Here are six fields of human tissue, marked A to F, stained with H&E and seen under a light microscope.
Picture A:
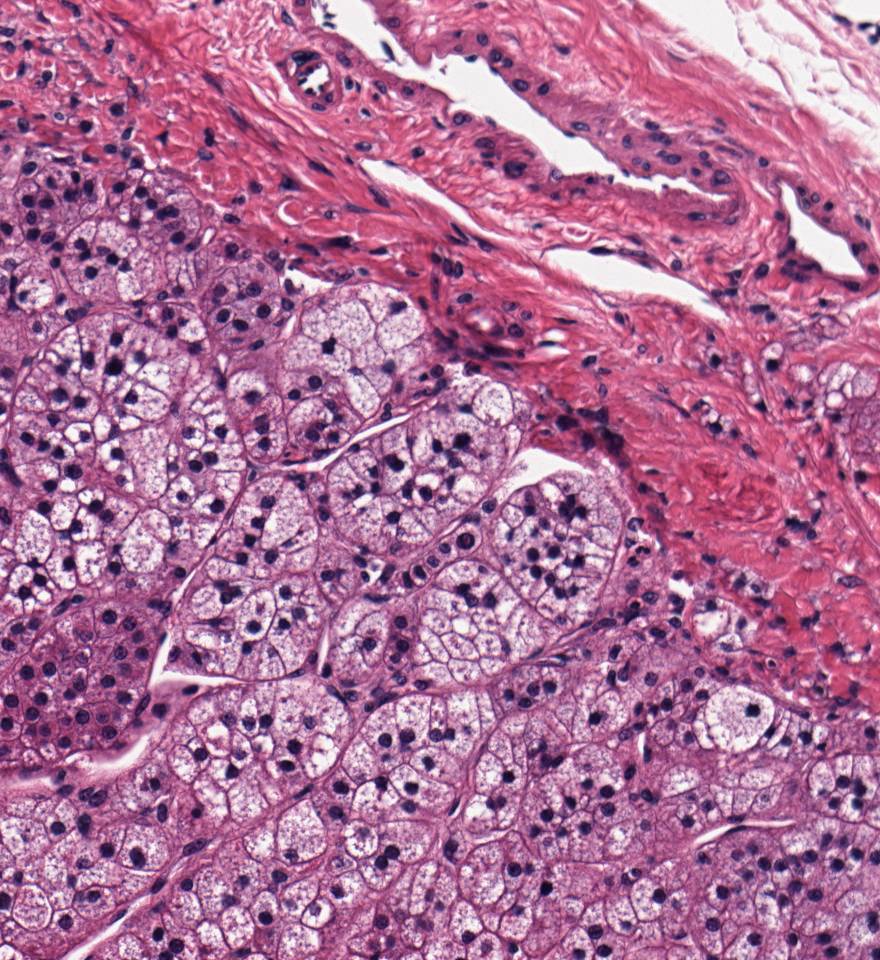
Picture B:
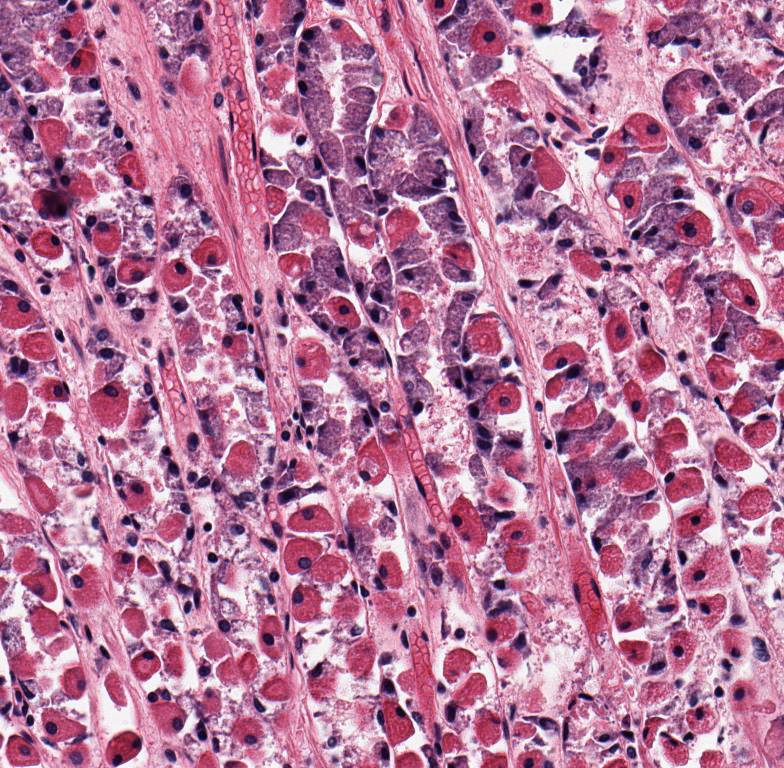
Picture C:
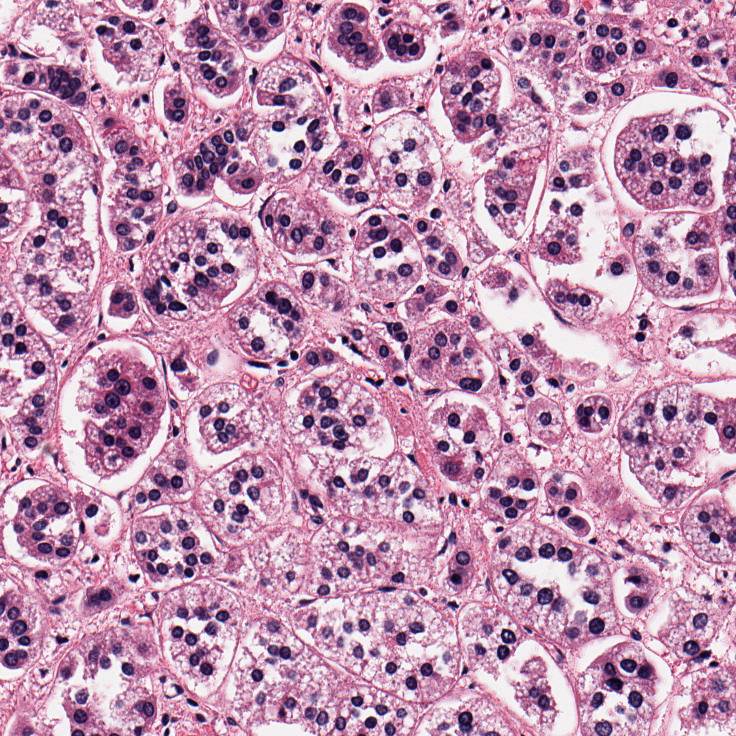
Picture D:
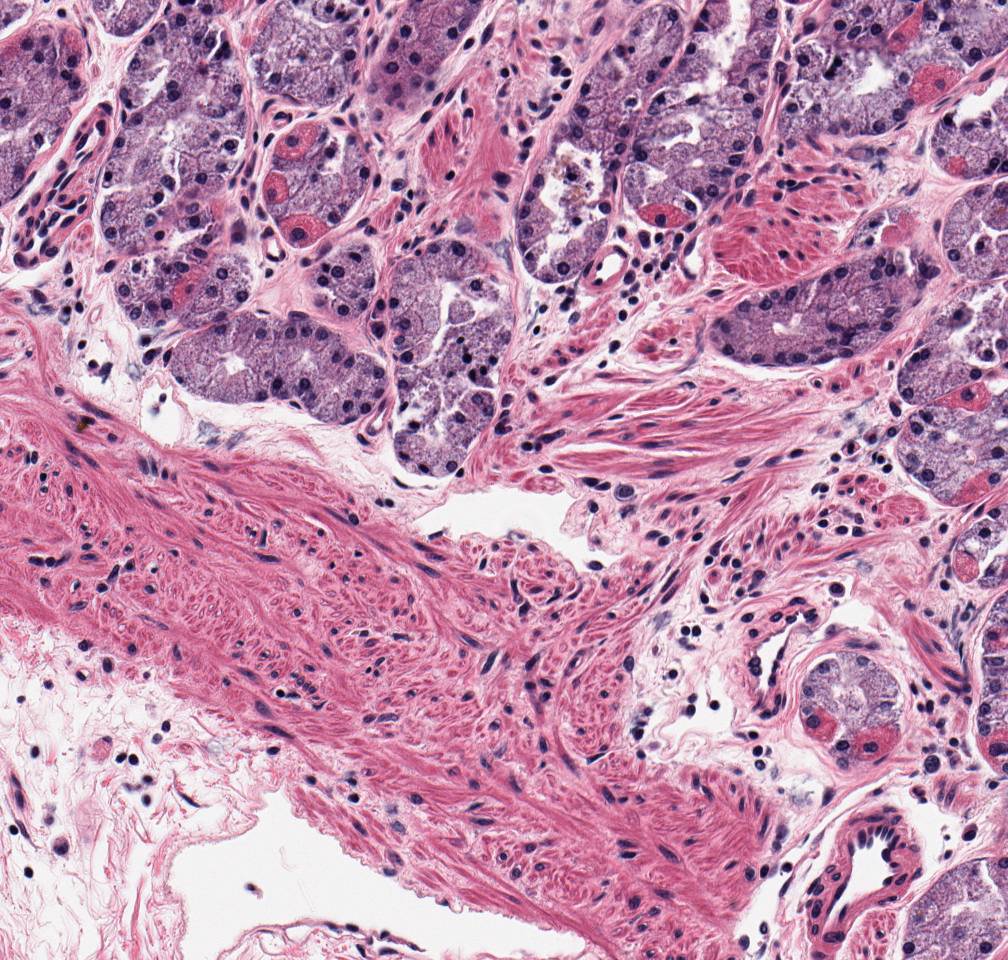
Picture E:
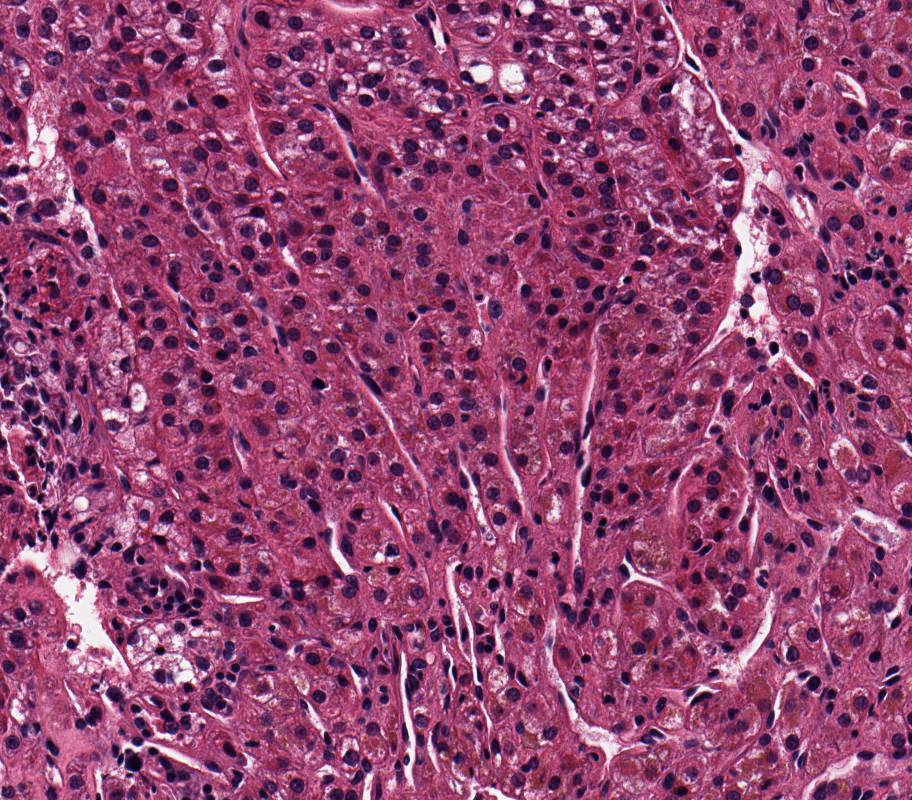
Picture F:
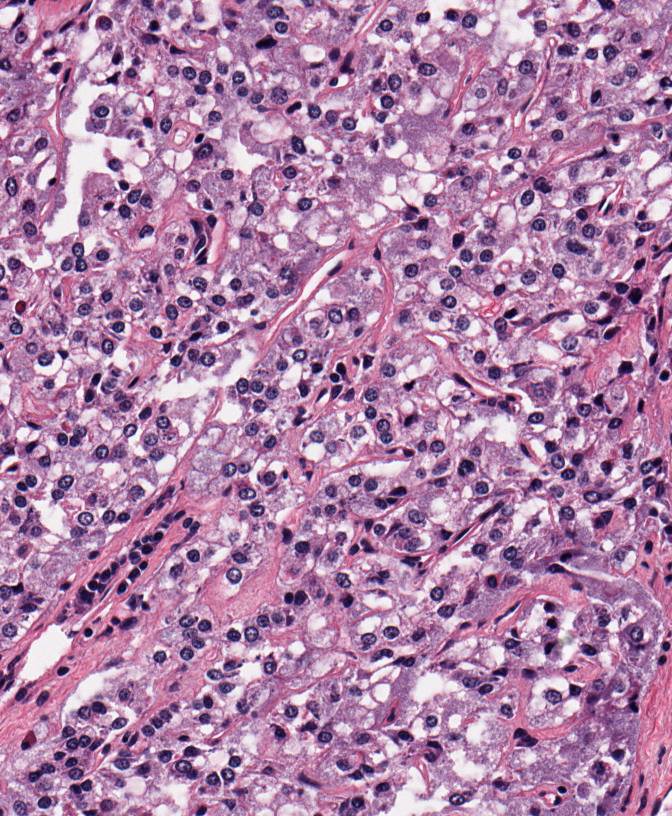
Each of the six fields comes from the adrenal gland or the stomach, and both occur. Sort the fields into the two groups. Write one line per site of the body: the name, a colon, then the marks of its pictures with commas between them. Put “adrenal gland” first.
adrenal gland: A, C, E, F
stomach: B, D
